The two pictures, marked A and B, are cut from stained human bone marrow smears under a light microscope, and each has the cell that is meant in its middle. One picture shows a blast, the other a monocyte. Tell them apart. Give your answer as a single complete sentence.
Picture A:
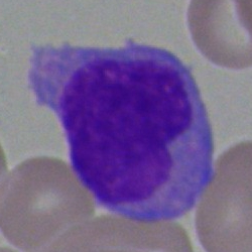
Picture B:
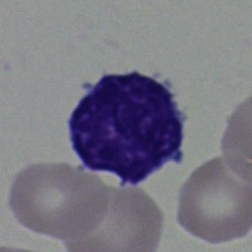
The cell in picture A is a monocyte, and the one in picture B is a blast.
